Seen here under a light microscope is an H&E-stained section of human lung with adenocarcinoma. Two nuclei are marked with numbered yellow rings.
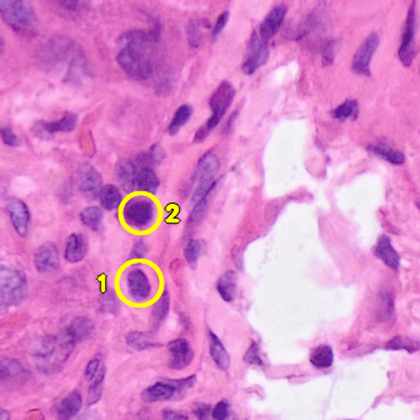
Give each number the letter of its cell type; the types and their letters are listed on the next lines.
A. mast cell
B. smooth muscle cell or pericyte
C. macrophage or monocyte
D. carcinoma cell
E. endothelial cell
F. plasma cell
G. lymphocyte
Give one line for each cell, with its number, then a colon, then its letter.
1: G
2: F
